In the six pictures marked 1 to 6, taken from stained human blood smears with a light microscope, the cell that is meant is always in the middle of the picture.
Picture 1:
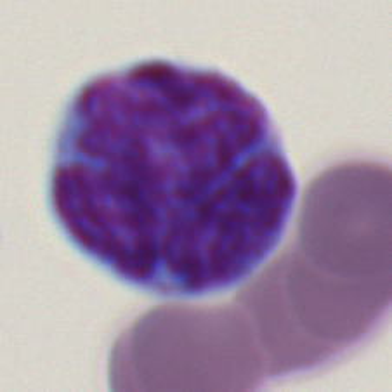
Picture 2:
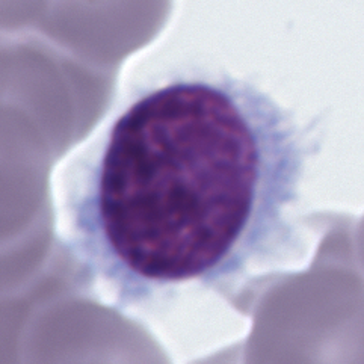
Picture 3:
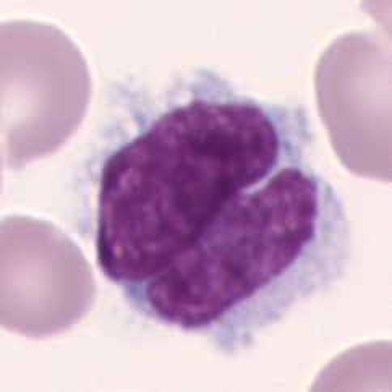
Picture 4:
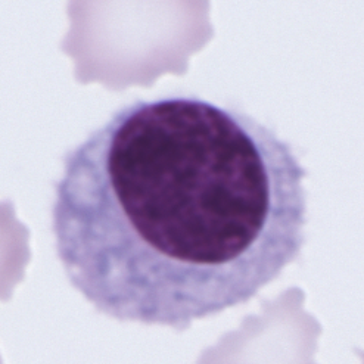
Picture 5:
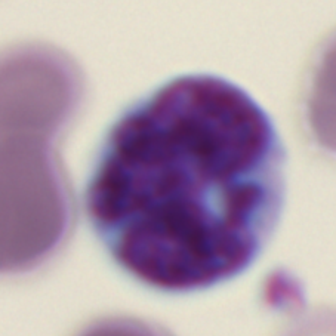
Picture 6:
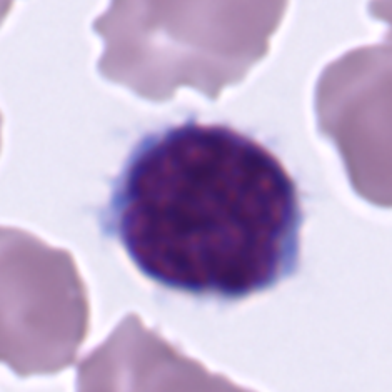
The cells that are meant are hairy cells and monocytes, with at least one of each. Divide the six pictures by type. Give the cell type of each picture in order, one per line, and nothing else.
monocyte
hairy cell
hairy cell
hairy cell
monocyte
hairy cell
